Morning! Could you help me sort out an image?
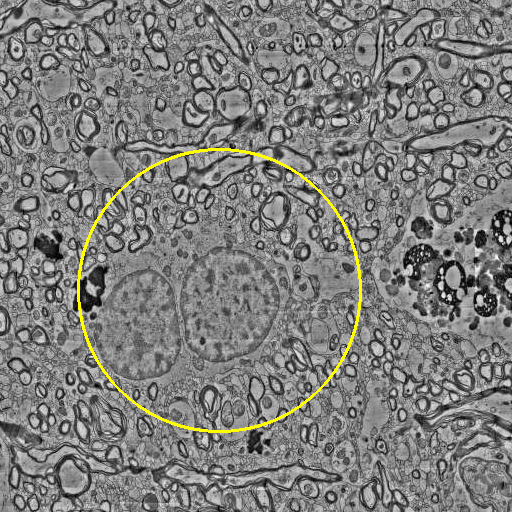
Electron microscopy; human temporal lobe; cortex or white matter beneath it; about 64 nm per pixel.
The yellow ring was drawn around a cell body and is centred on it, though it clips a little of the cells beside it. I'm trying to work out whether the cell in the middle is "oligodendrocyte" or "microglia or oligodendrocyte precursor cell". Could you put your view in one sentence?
The ringed cell body is that of an oligodendrocyte.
